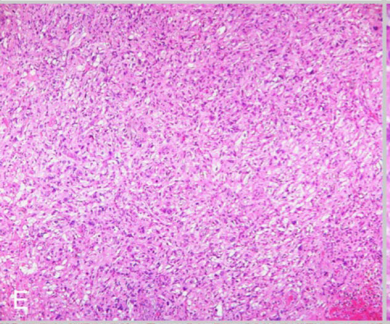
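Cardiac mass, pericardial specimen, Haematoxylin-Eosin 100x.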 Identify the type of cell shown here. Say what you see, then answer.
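Densely packed cells fill the field without normal tissue architecture. Many cells are elongated and spindle-shaped while others are plump and rounded. Nuclei vary in size and shape.
Conclusion: pleomorphic spindle and epithelioid cells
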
